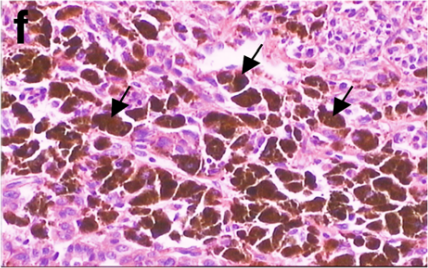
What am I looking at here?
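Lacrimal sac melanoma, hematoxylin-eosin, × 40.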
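Sheets of closely packed polygonal tumor cells, many with cytoplasm filled by coarse dark brown pigment granules. Where not hidden by pigment, nuclei are round to oval and purple. Thin pink strands and a few clear spaces lie between the cell groups.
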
